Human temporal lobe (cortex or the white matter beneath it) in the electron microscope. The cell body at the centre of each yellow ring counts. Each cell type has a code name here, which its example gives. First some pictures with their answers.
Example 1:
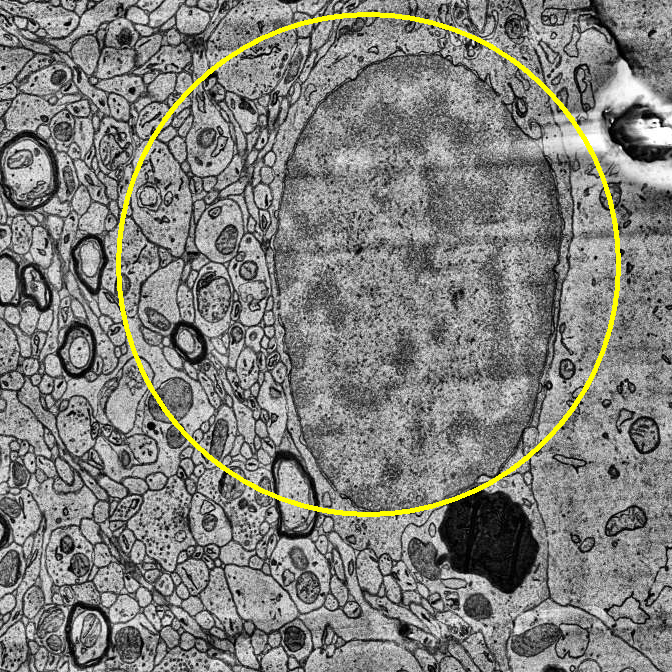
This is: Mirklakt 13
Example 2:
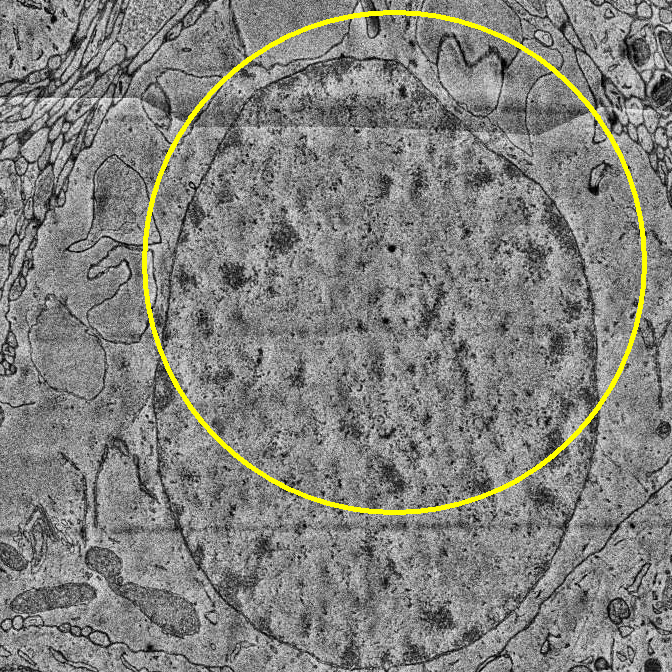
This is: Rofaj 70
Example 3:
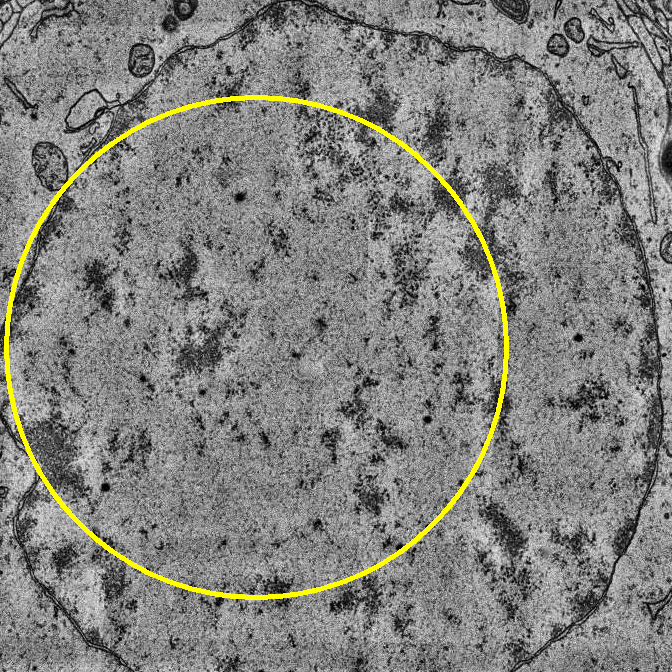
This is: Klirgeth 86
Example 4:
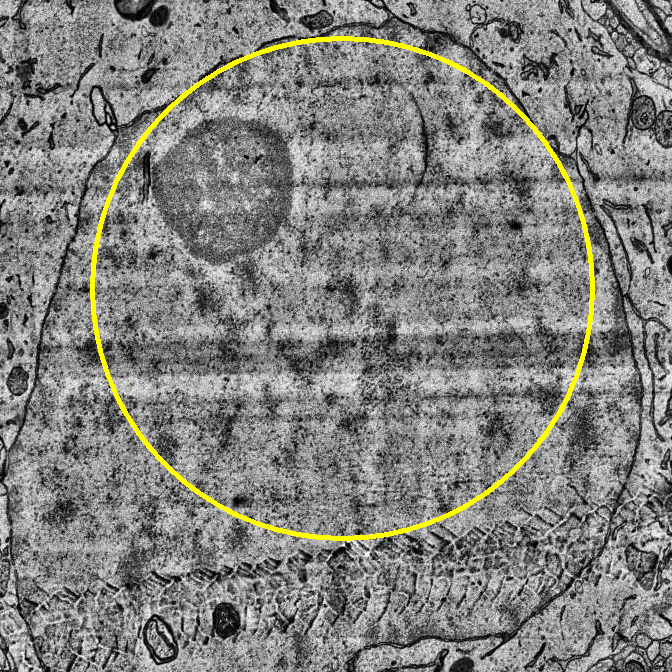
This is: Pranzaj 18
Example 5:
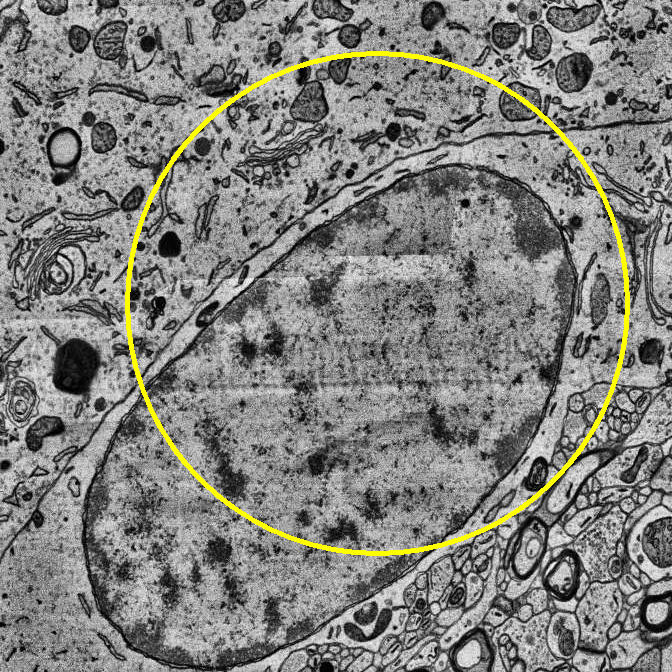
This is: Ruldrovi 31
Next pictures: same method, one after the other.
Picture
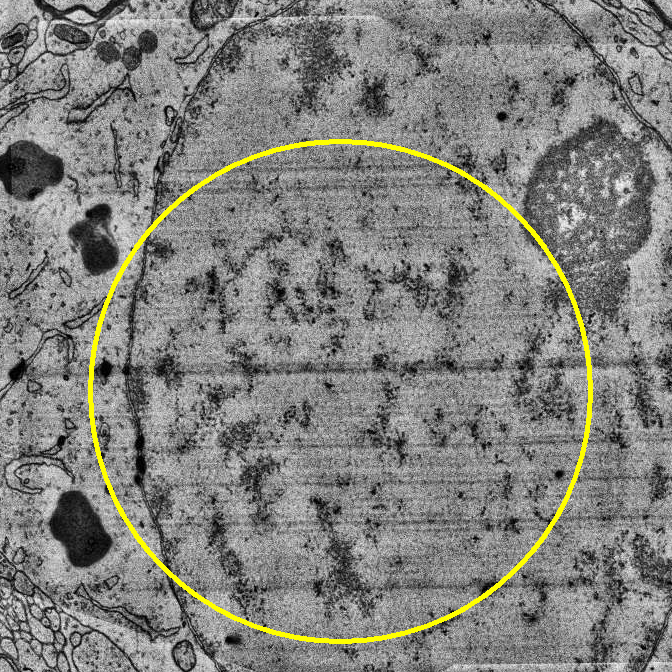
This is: Pranzaj 18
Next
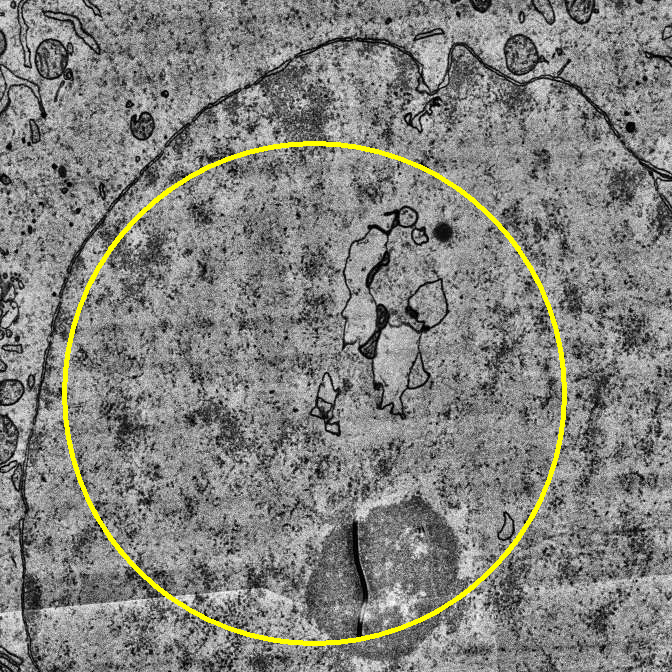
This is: Pranzaj 18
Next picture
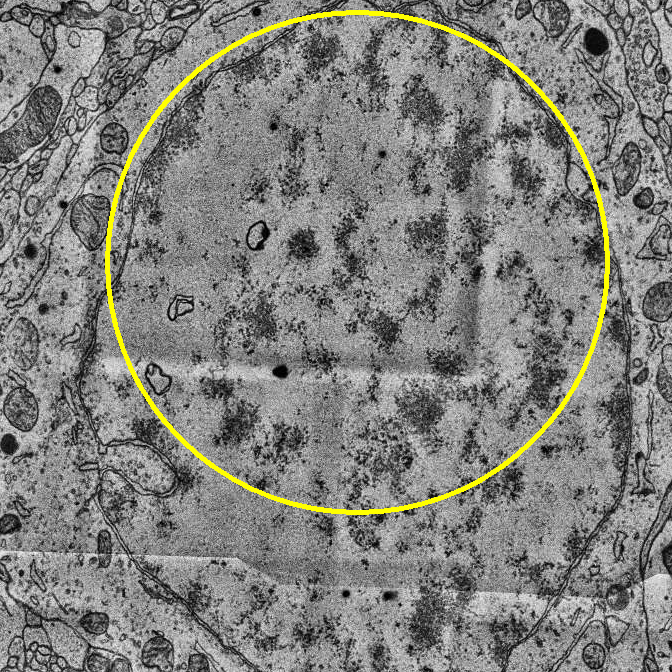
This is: Klirgeth 86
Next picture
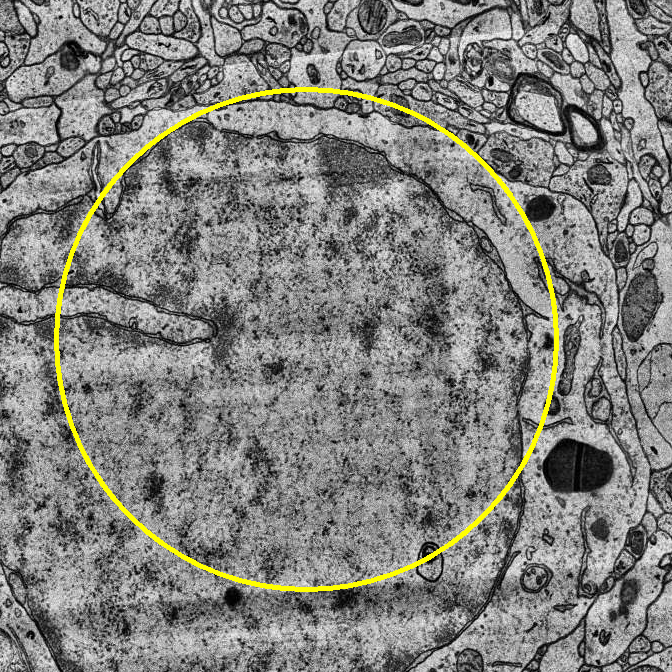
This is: Klirgeth 86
